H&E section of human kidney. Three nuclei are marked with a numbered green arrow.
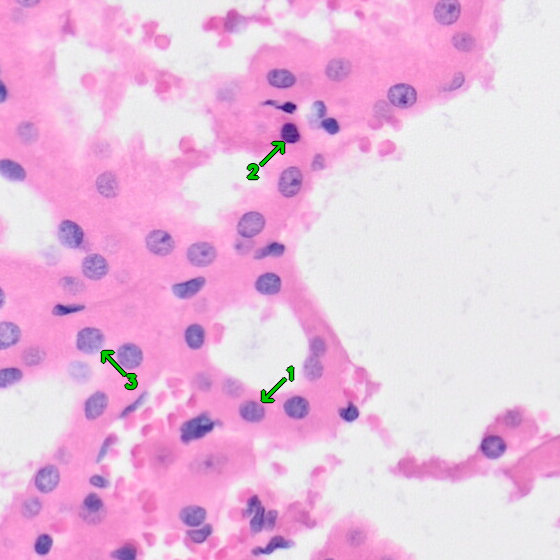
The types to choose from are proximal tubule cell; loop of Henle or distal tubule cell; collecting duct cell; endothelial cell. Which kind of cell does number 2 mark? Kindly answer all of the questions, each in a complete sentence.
The cell referred to as 2 is a proximal tubule cell.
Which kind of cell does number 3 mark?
Cell 3 in the field is a loop of Henle or distal tubule cell.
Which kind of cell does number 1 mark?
Cell 1 in the field is a loop of Henle or distal tubule cell.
